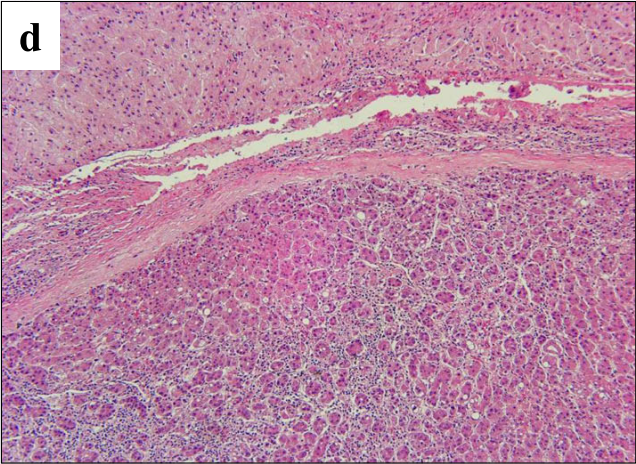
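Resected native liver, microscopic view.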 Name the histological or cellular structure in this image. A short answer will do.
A: trabecular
